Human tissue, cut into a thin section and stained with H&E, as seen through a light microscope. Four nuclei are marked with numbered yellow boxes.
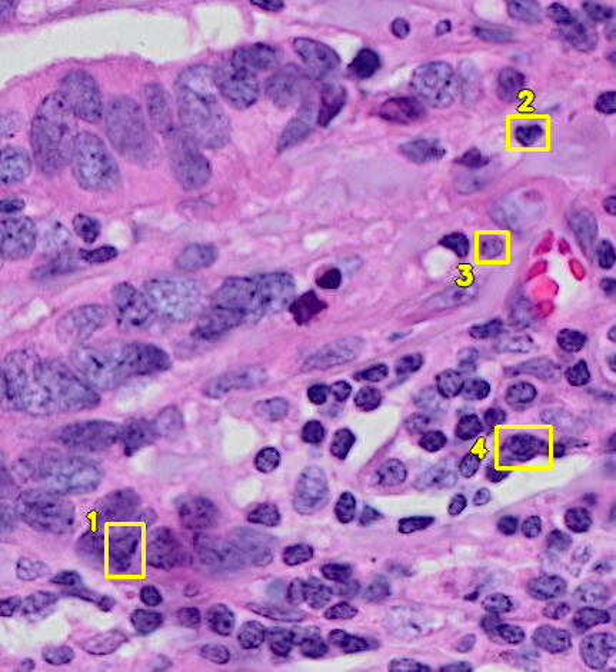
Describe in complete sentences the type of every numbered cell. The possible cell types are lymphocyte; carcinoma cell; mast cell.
Cell 1 is a carcinoma cell. Cells 2 and 4 are lymphocytes. Cell 3 is a mast cell.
